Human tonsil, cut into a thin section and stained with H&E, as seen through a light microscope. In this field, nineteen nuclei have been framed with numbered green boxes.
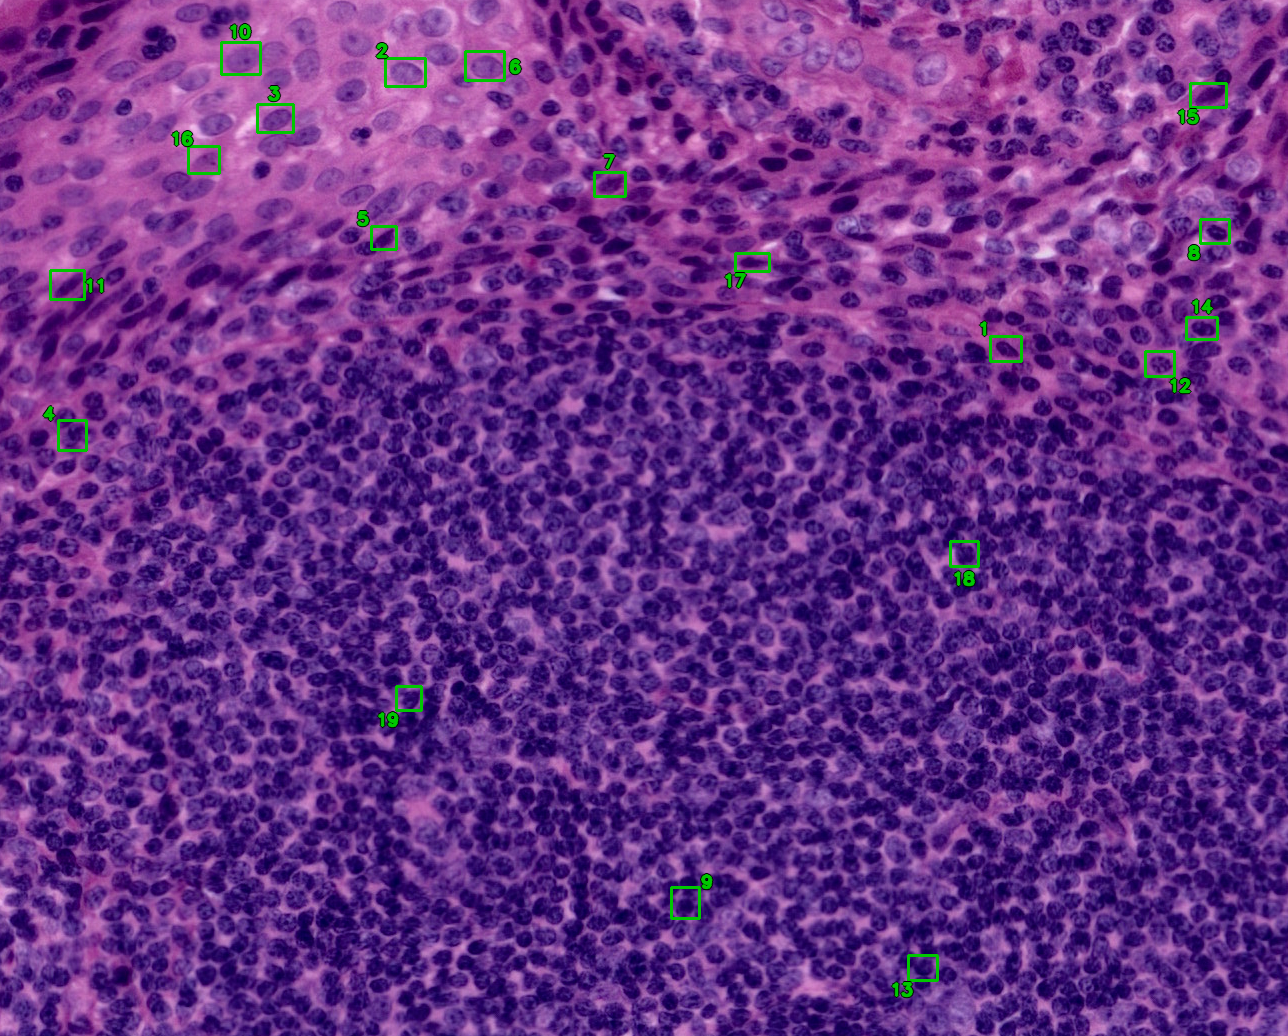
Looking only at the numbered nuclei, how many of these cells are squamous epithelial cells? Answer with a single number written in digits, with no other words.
10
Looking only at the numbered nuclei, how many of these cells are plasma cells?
5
